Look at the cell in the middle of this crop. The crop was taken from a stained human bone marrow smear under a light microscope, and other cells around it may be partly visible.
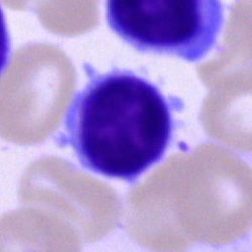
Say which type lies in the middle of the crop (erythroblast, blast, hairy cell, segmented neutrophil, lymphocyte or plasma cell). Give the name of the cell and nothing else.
lymphocyte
